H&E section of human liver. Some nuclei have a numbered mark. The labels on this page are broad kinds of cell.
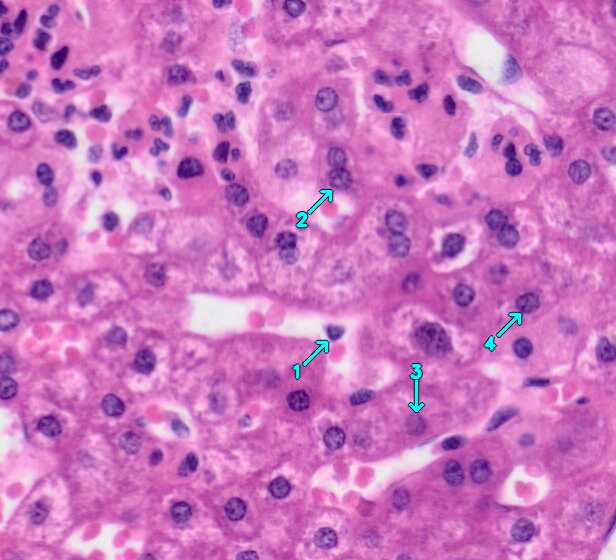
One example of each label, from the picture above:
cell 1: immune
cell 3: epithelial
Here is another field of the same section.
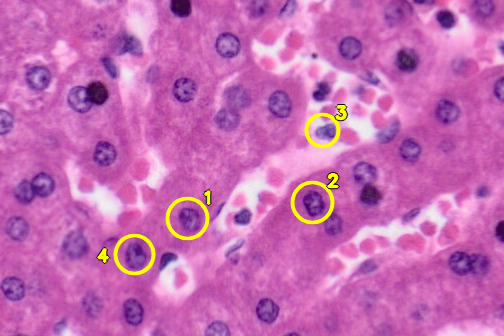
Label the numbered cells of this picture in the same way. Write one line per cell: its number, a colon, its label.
1: epithelial
2: epithelial
3: immune
4: epithelial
